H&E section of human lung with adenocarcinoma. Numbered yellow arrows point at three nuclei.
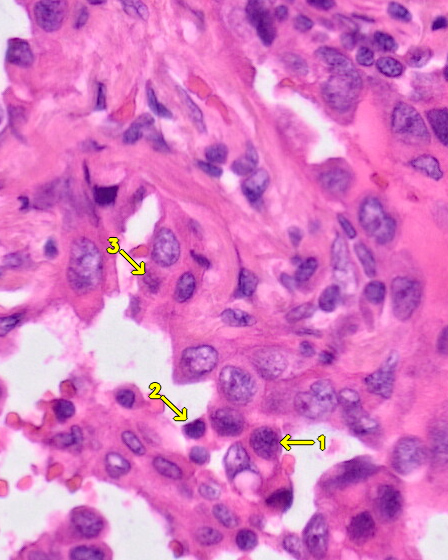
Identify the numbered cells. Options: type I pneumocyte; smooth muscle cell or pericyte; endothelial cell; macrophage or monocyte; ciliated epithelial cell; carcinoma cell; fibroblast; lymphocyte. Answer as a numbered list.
1. carcinoma cell
2. lymphocyte
3. carcinoma cell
